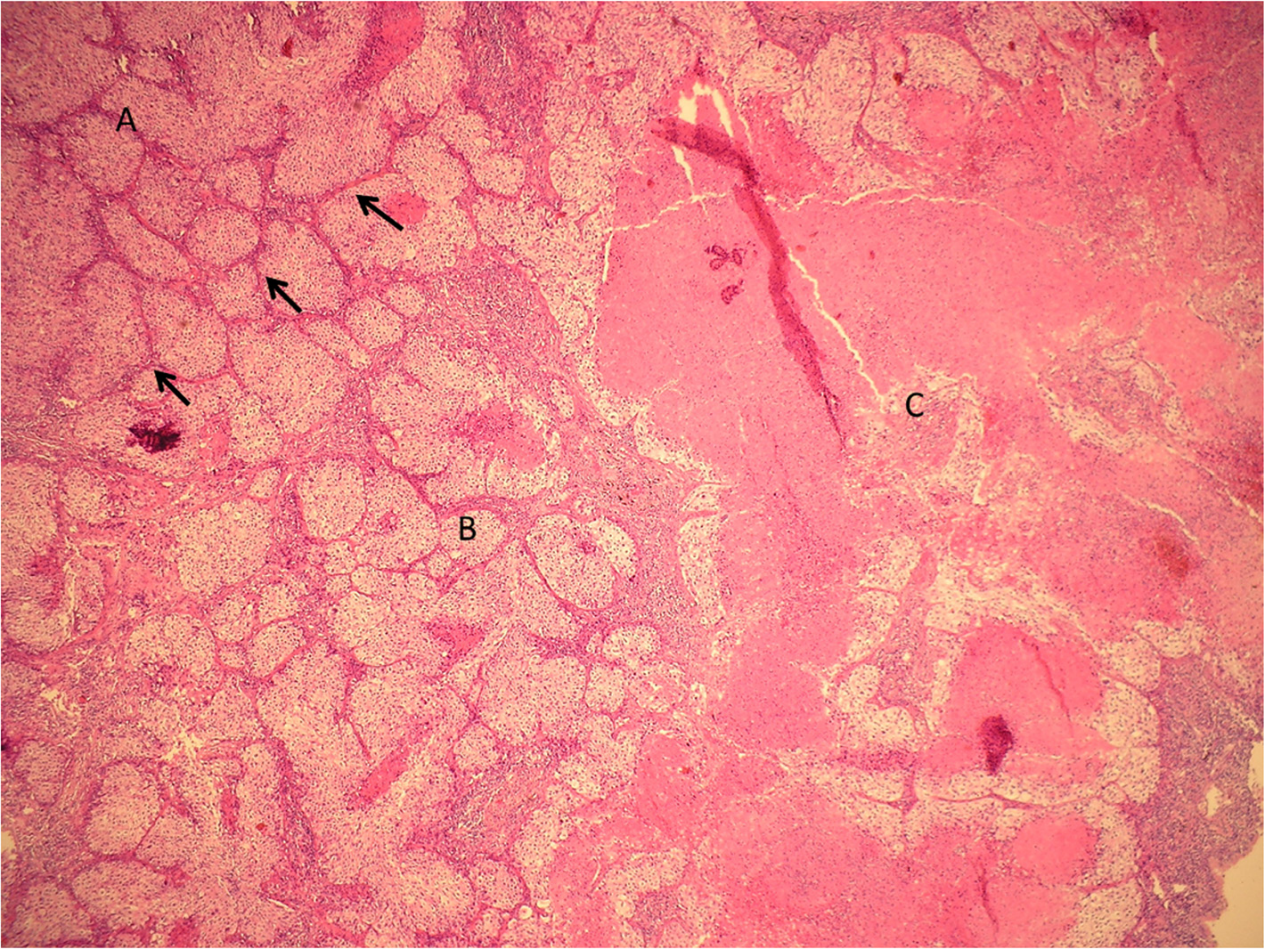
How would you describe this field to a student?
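On the left, numerous pale nests of closely packed cells with small purple nuclei are separated by thin, branching pink fibrous septa, giving a lobulated pattern. Toward the middle, some nests look paler. On the right, a large confluent area stains homogeneously deep pink, with nest outlines and cell borders blurred and few distinct nuclei visible, consistent with necrotic tissue. Scattered small dark purple deposits and a long dark streak cross the tissue, and remnants of pale nests persist at the margins of the pink zone.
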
